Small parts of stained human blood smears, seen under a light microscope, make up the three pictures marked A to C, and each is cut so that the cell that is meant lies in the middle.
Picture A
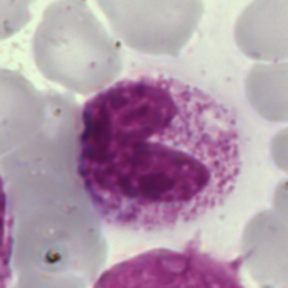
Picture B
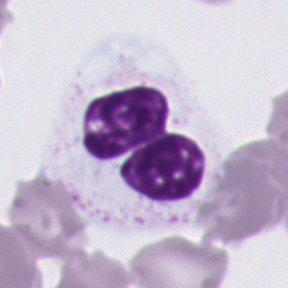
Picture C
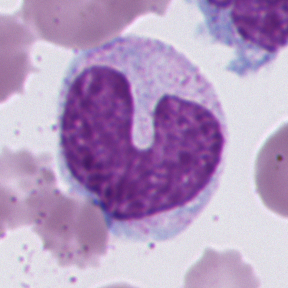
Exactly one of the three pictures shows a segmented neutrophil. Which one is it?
B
